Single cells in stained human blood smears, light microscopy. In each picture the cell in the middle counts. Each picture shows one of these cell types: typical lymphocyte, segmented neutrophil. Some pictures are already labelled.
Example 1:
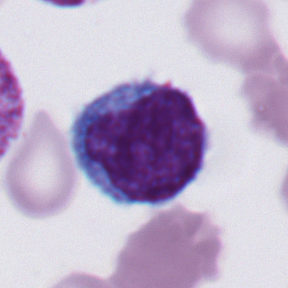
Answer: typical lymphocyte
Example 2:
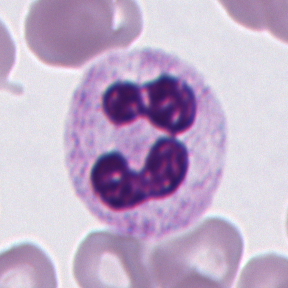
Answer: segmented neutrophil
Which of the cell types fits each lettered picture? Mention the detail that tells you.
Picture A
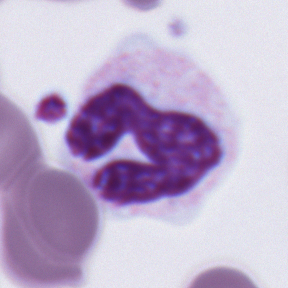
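segmented neutrophil. Evidence: The cytoplasm is plentiful and pale pinkish-lilac.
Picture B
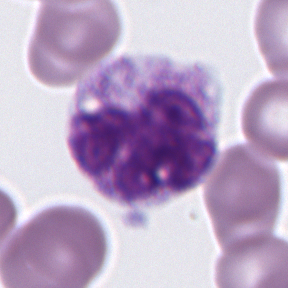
segmented neutrophil. Evidence: Purple granules are scattered through the cytoplasm and over the nucleus.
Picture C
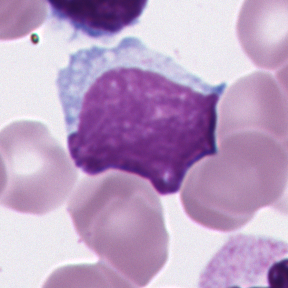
typical lymphocyte. Evidence: The nucleus fills most of the cell.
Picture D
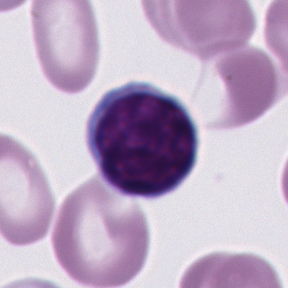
typical lymphocyte. Evidence: The cytoplasm is a thin rim, best seen on the left side of the cell.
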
